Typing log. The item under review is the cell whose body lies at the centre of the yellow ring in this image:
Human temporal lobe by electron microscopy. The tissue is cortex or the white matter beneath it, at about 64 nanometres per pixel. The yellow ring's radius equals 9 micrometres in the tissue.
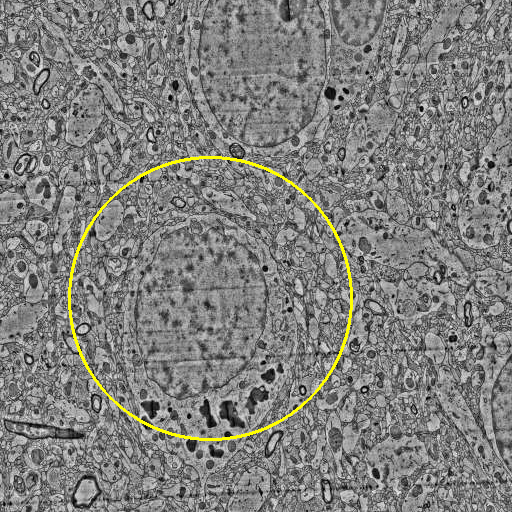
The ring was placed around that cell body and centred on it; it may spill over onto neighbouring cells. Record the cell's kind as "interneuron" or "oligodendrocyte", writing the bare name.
interneuron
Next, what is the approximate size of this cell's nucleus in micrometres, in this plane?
Roughly 11 by 9 micrometres in this plane, for the nucleus of the ringed cell.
